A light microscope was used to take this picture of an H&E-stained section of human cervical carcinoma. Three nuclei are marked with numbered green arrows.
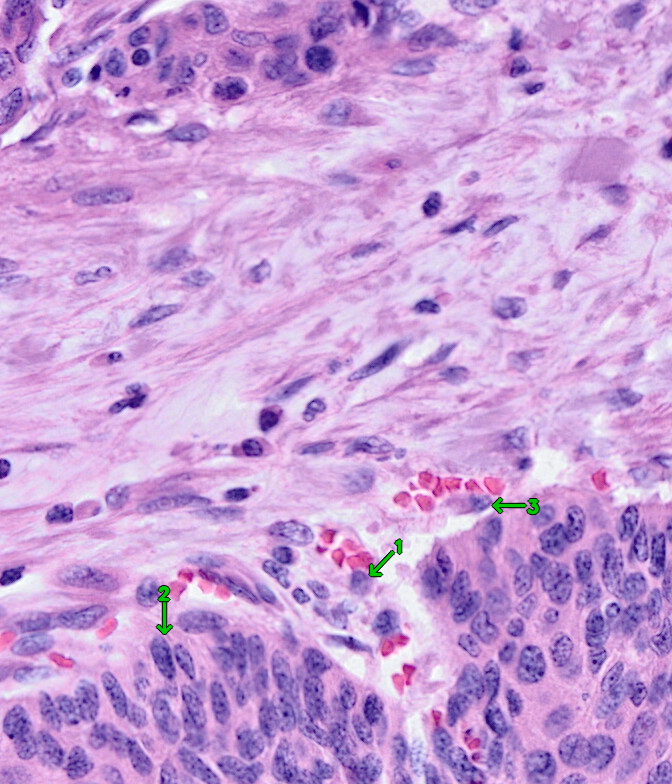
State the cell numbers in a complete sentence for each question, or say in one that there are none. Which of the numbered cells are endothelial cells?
The cells labelled 1 and 3 in this section are endothelial cells.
